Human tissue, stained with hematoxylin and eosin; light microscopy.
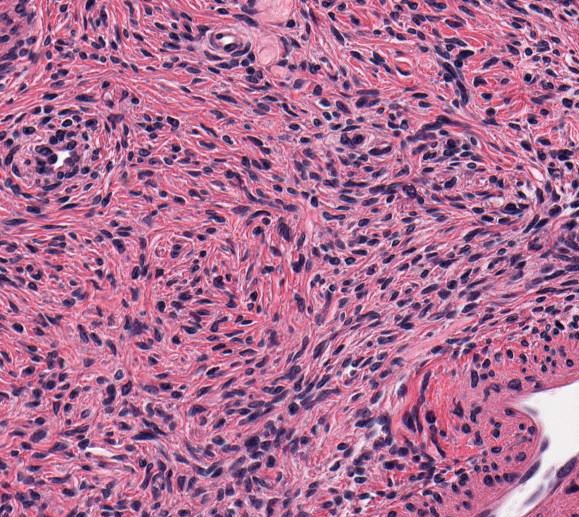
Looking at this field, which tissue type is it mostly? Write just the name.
ovarian cortex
